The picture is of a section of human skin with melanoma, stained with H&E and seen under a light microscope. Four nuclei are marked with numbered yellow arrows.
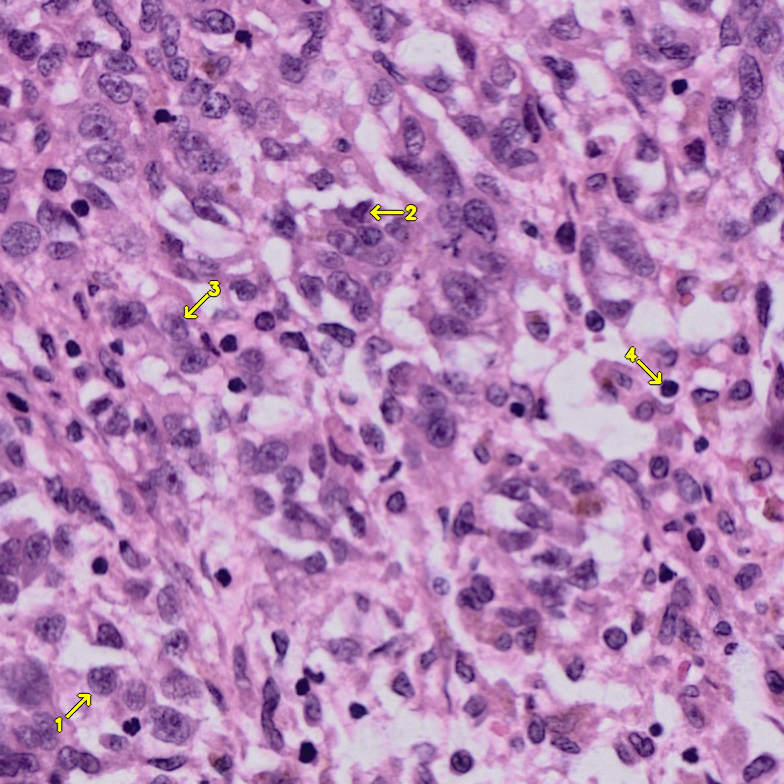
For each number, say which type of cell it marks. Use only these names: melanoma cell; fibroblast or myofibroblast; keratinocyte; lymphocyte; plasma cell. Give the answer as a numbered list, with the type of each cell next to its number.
1. melanoma cell
2. melanoma cell
3. melanoma cell
4. lymphocyte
